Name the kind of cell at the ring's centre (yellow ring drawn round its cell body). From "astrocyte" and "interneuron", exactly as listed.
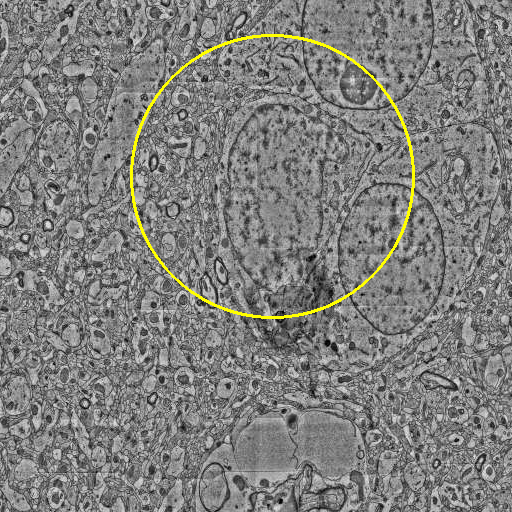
interneuron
